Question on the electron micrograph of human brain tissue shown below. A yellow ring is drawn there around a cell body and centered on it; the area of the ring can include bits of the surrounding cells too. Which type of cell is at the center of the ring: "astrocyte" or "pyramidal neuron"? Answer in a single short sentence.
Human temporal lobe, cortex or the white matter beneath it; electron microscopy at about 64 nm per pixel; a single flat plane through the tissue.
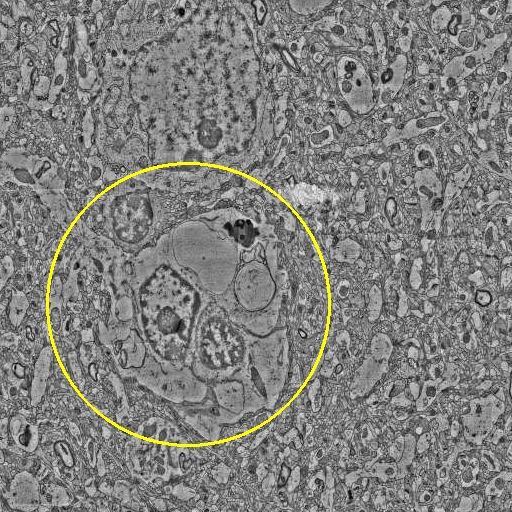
The ring is centered on an astrocyte.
